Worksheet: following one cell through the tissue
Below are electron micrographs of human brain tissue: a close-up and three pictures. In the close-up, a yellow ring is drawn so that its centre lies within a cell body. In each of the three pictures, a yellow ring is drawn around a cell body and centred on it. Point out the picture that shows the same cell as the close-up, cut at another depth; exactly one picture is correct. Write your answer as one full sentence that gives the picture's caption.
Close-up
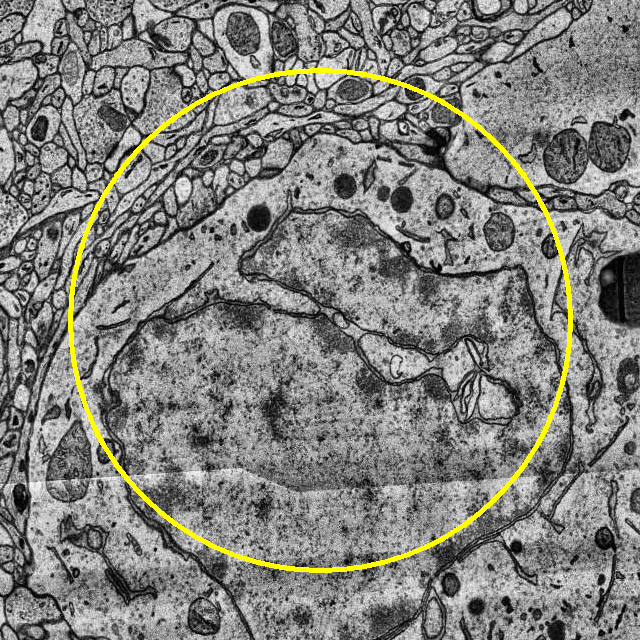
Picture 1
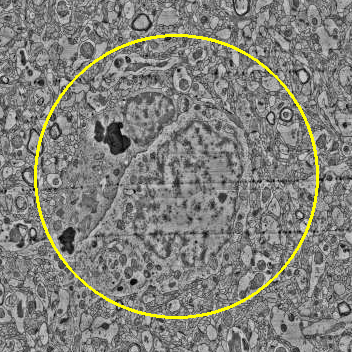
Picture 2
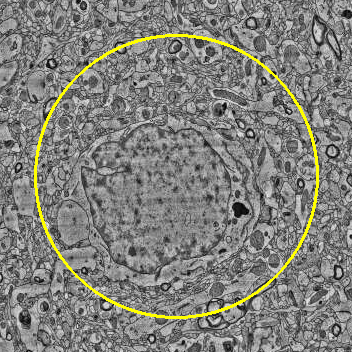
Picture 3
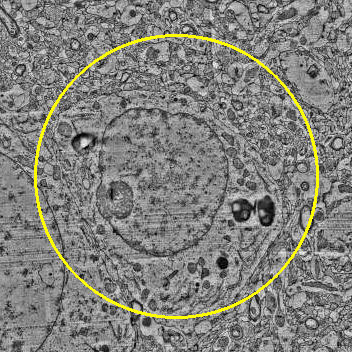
The enlarged view corresponds to the cell ringed in Picture 2.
